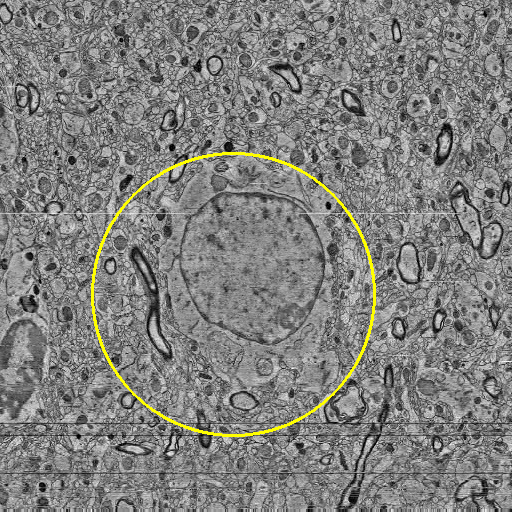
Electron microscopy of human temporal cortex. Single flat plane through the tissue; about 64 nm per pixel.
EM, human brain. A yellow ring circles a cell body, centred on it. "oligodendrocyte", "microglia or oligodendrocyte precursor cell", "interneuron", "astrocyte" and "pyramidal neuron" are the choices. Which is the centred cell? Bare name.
astrocyte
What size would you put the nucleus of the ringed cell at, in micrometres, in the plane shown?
About 10 by 9 micrometers, in this plane.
